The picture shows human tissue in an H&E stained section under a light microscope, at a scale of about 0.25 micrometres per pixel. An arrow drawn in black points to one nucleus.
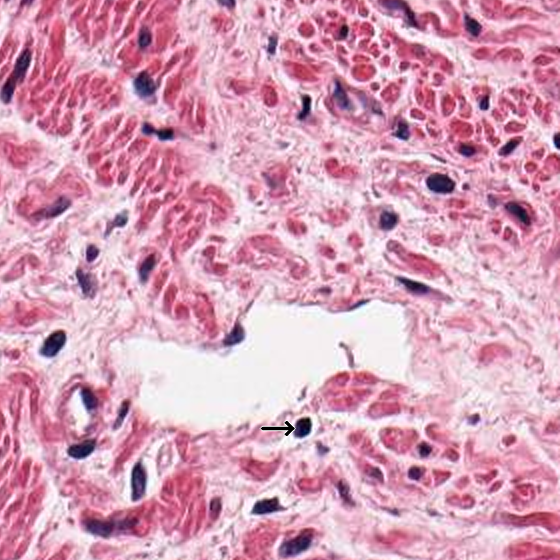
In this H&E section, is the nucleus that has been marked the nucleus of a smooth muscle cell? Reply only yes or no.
no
